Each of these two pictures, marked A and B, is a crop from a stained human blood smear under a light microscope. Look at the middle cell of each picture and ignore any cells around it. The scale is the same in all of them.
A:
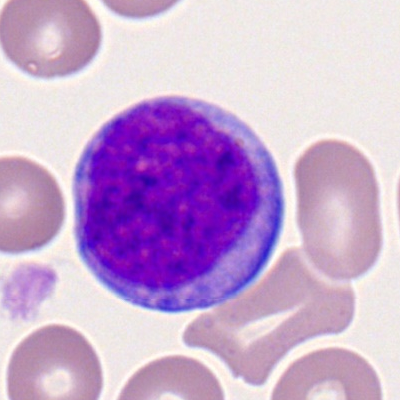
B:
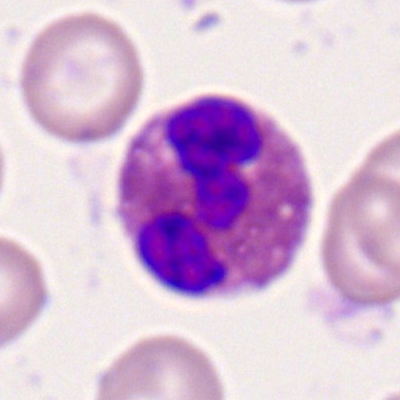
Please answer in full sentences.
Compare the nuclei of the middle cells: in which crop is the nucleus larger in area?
It is the nucleus in picture A, about 2 times as large in area as the one in picture B.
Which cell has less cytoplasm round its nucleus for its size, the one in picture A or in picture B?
In picture A the nucleus takes up the larger part of its cell.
